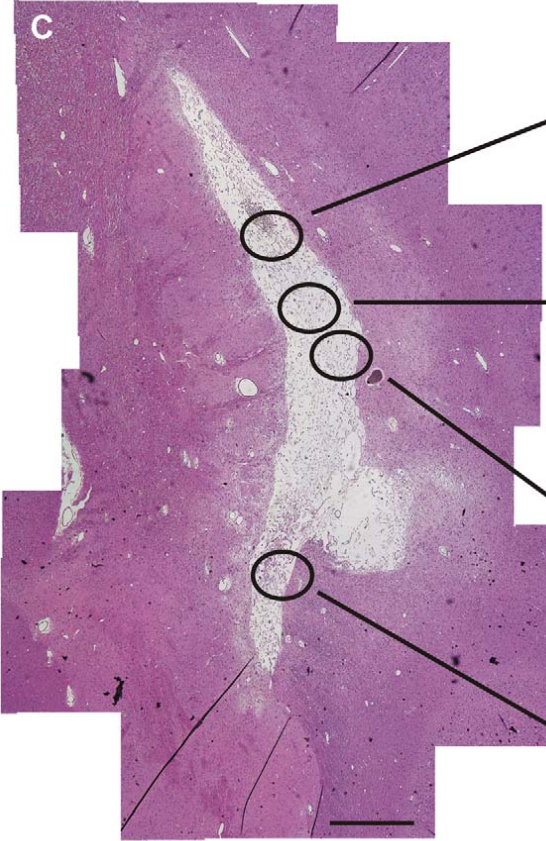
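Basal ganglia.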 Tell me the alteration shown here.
Cavity formation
